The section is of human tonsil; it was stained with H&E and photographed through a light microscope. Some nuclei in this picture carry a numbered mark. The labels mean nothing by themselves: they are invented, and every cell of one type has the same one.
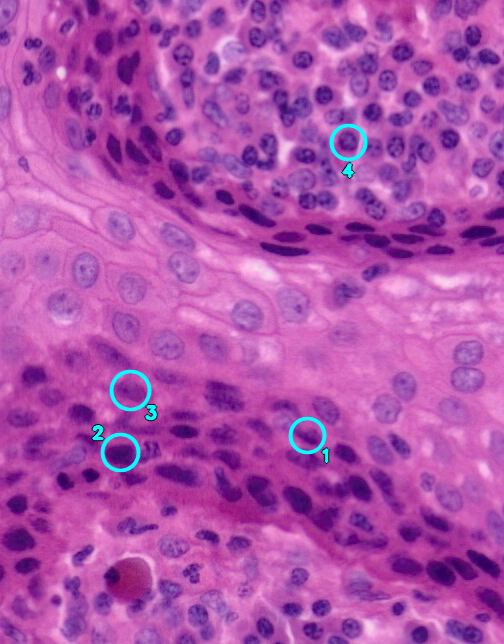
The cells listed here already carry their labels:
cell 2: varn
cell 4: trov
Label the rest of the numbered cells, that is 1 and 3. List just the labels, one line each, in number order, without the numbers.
varn
varn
